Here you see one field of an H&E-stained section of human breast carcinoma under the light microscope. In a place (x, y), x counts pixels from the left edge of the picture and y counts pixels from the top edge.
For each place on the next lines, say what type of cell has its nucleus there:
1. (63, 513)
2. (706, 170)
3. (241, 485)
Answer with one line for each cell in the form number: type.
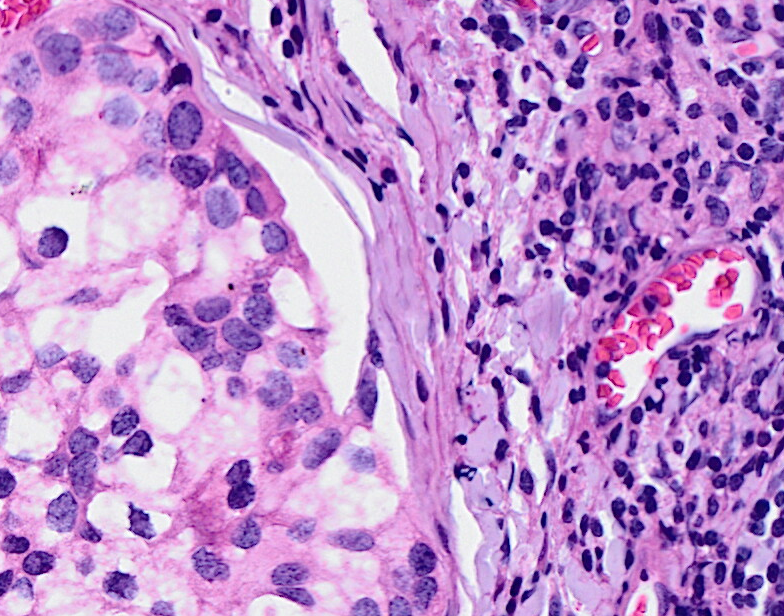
1: carcinoma cell
2: lymphocyte
3: carcinoma cell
